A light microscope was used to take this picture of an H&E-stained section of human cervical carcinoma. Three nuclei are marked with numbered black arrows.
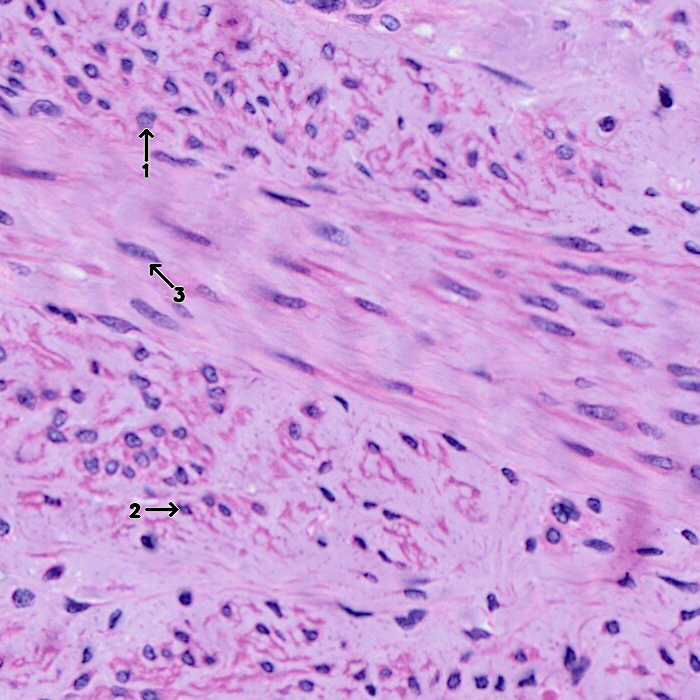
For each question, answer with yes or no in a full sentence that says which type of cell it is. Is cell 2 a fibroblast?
No, that is wrong: cell 2 is a smooth muscle cell, and not a fibroblast.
